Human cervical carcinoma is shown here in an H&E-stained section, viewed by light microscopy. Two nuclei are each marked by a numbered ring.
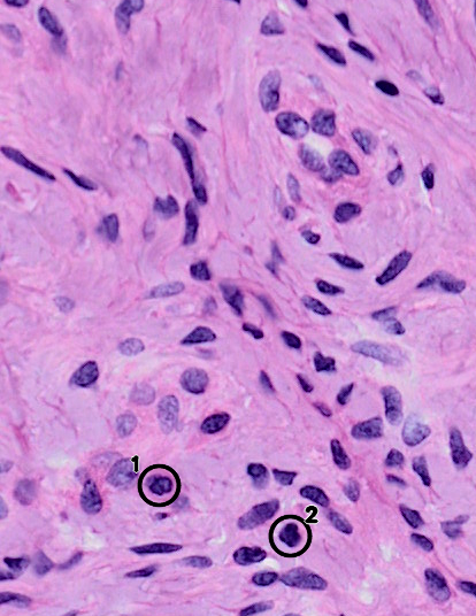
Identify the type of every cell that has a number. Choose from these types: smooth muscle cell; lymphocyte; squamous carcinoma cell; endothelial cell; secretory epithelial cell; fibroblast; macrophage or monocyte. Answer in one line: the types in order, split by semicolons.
endothelial cell; lymphocyte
